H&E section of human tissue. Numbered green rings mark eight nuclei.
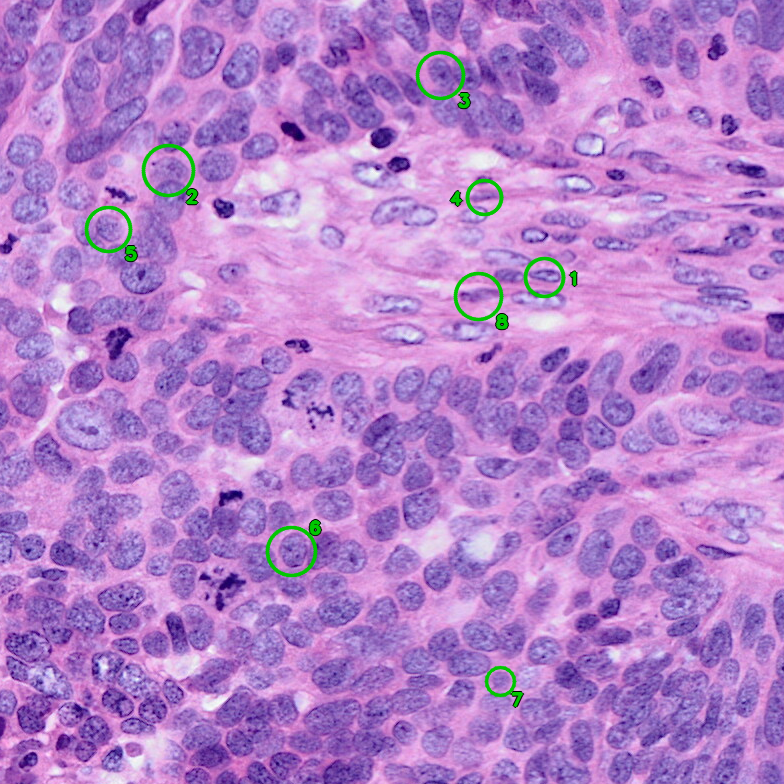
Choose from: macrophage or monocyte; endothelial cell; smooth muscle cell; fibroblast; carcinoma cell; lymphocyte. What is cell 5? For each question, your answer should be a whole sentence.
Among the marked cells, number 5 is a carcinoma cell.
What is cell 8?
At number 8, the marked cell is a fibroblast.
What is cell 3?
The cell numbered 3 represents a carcinoma cell.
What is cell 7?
What the number 7 marks in this field is a carcinoma cell.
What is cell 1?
Cell 1 should be recorded as a fibroblast.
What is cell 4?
Looking at the numbered marks, cell 4 is a fibroblast.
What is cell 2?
The numbered cell 2 is identified here as a carcinoma cell.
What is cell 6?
The marked cell bearing number 6 is a carcinoma cell.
